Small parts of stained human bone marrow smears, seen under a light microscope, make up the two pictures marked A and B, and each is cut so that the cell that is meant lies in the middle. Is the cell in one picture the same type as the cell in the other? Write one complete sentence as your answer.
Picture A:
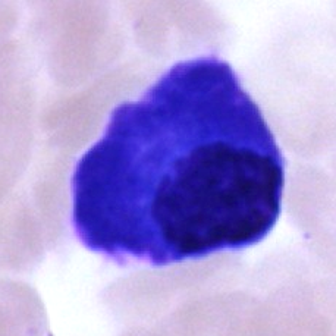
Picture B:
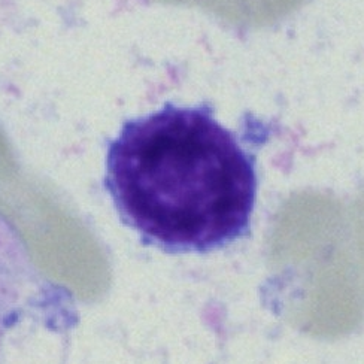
No; the cell in picture A is a plasma cell, while the one in picture B is a lymphocyte.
